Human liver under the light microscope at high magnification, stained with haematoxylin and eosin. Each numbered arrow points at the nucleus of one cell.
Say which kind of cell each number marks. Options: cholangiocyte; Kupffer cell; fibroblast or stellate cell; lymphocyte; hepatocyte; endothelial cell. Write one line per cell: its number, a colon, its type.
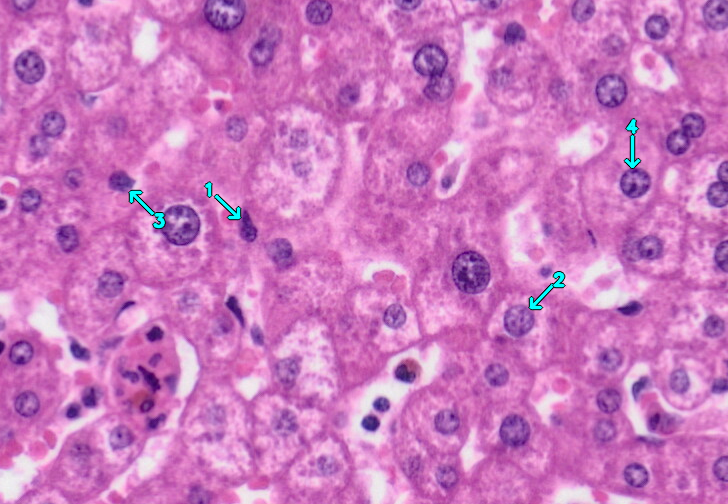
1: fibroblast or stellate cell
2: hepatocyte
3: endothelial cell
4: hepatocyte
